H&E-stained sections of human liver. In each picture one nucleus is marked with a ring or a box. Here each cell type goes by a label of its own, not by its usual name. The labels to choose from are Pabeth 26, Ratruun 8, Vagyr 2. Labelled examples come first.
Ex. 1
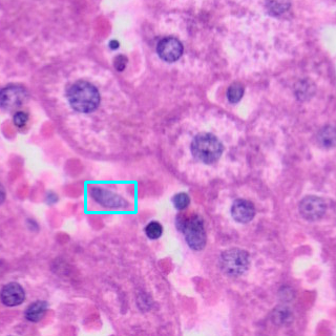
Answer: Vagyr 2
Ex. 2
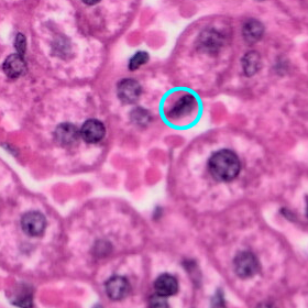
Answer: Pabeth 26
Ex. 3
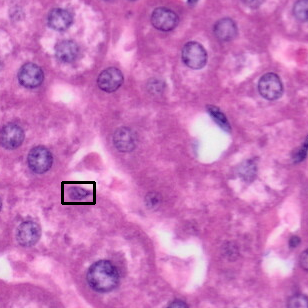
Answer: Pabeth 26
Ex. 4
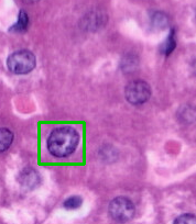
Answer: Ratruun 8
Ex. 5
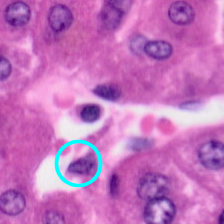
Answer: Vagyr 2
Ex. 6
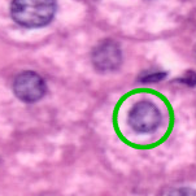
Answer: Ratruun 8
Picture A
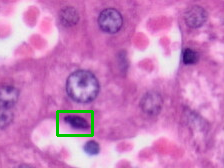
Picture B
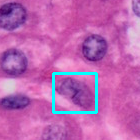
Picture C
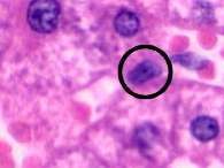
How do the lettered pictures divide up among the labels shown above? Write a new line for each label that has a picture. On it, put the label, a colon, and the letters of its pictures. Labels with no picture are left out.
Pabeth 26: A, C
Vagyr 2: B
